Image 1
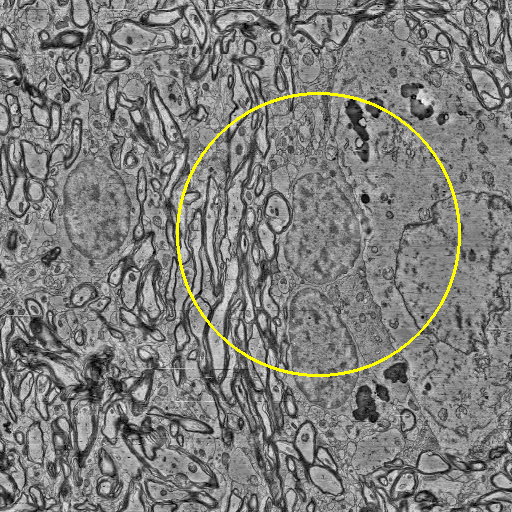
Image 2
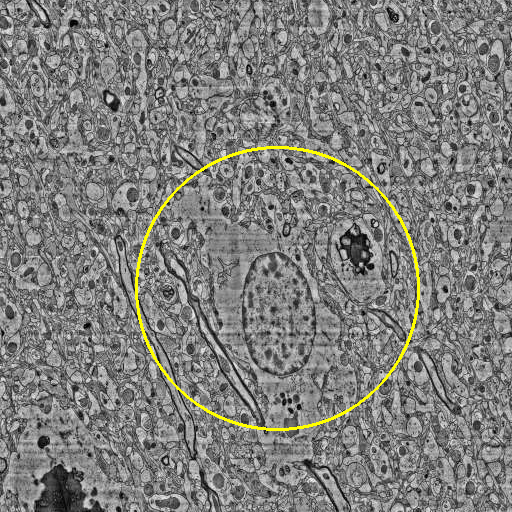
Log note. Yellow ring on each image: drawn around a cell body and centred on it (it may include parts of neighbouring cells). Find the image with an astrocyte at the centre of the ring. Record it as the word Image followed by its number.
Image 2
